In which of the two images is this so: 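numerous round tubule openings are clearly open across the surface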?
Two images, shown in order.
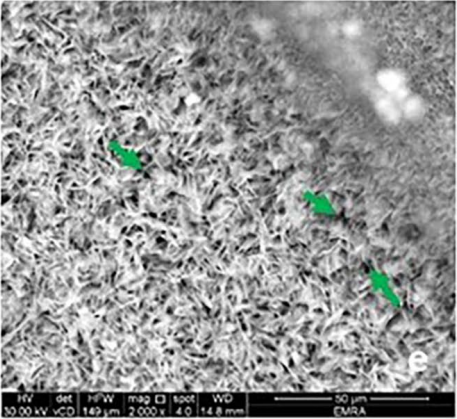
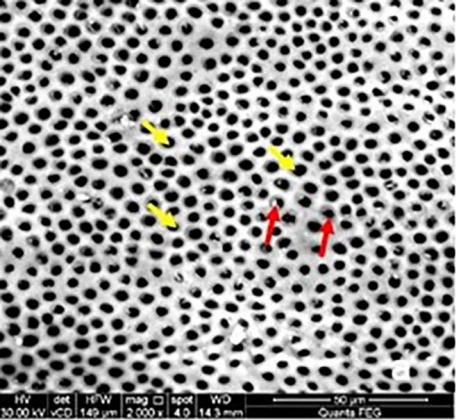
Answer: The second image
